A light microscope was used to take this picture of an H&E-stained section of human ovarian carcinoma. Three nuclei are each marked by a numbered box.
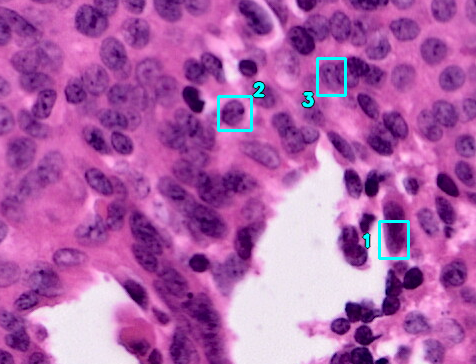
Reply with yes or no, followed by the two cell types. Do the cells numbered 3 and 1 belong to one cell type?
Yes, both are carcinoma cells.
